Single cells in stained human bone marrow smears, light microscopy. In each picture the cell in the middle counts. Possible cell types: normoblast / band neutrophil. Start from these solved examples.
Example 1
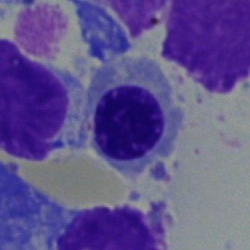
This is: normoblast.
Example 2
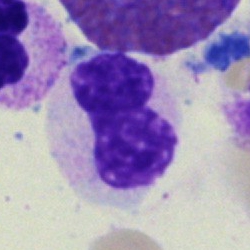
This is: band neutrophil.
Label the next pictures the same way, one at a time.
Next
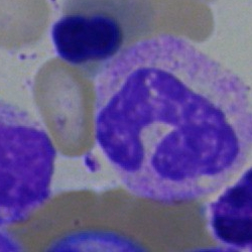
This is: band neutrophil.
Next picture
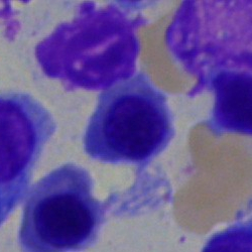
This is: normoblast.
